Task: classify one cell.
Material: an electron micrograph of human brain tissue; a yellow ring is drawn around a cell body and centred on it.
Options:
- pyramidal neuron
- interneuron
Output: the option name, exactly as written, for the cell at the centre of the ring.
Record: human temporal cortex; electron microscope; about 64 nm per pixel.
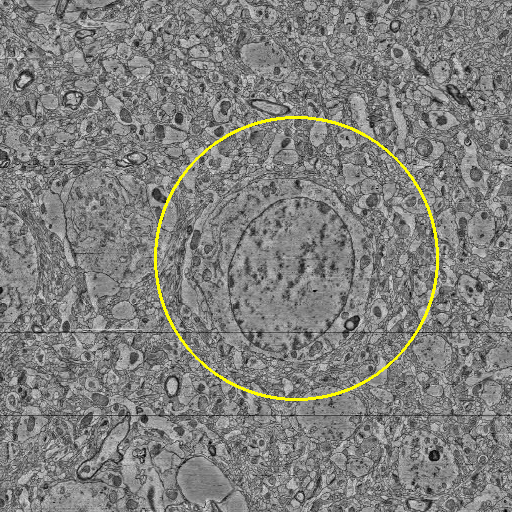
pyramidal neuron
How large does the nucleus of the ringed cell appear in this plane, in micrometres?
The ringed cell's nucleus is about 11 micrometres long and 8 micrometres wide in this plane.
